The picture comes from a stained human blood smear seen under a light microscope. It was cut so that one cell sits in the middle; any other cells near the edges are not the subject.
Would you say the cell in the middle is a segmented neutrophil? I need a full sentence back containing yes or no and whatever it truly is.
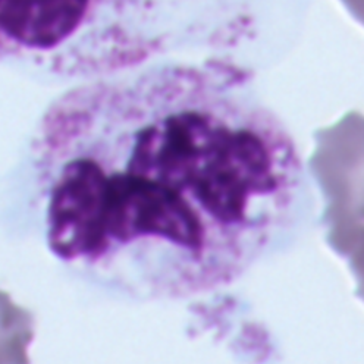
Yes, the cell in the middle of the view is a segmented neutrophil.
